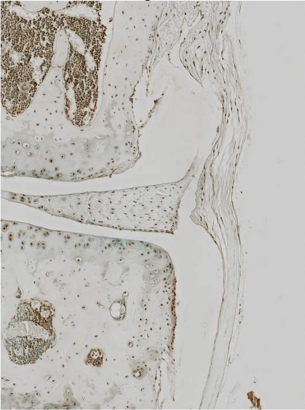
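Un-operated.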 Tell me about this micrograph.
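Knee joint with articular cartilage, meniscus and joint capsule. Chondrocytes sit in lacunae in the pale cartilage over both bone ends, many with brown nuclei, and a triangular meniscus of small scattered cells lies in the joint space. A fibrous capsule of elongated cells lines the right side, and the marrow spaces of the bone stain brown.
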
